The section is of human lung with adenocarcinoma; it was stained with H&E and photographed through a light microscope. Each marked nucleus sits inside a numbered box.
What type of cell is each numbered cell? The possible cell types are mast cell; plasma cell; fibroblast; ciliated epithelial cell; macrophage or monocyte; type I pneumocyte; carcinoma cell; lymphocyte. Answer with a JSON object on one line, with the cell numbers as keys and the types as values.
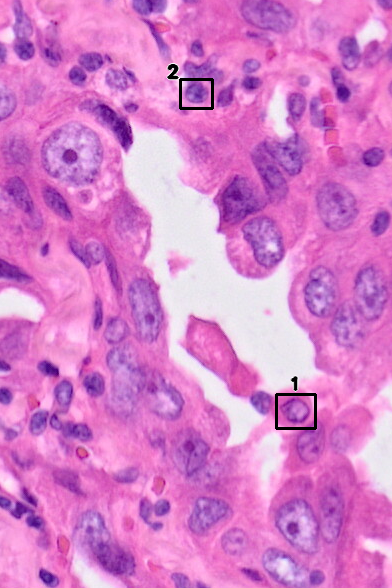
{"1": "macrophage or monocyte", "2": "lymphocyte"}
